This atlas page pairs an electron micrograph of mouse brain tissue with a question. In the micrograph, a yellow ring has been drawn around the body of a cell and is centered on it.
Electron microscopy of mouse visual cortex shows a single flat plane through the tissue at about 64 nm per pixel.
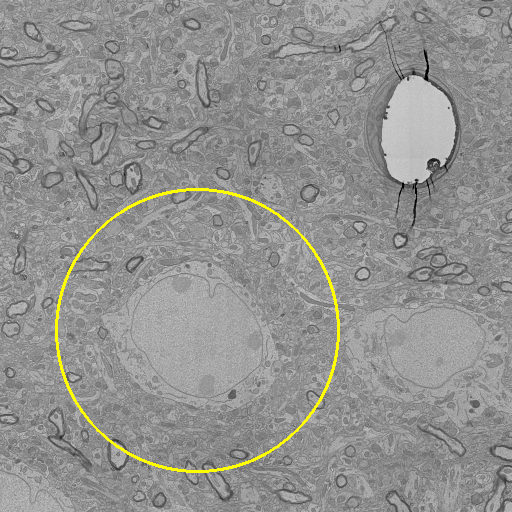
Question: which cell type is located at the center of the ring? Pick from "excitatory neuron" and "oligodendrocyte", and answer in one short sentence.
Located at the center of the ring is an excitatory neuron.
